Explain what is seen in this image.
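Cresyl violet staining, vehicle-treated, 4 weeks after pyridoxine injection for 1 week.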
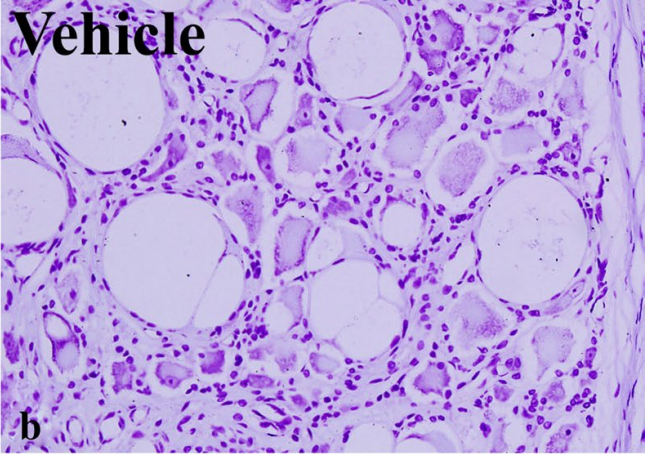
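This is a dorsal root ganglion in which many of the large neuron bodies have been replaced by vacuoles. Several big round spaces are empty and nearly colourless, each still outlined by a ring of small dark nuclei. The remaining neurons are fewer and many stain only pale violet, some appearing shrunken or irregular in shape. Small dark nuclei are crowded in the tissue between them, which looks more cellular than usual.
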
